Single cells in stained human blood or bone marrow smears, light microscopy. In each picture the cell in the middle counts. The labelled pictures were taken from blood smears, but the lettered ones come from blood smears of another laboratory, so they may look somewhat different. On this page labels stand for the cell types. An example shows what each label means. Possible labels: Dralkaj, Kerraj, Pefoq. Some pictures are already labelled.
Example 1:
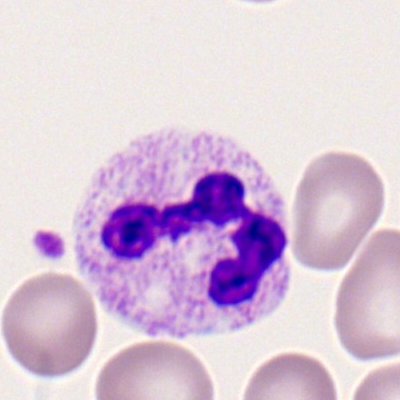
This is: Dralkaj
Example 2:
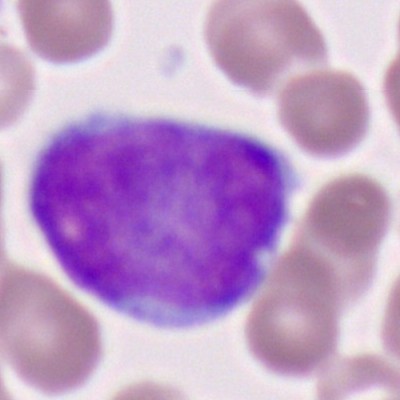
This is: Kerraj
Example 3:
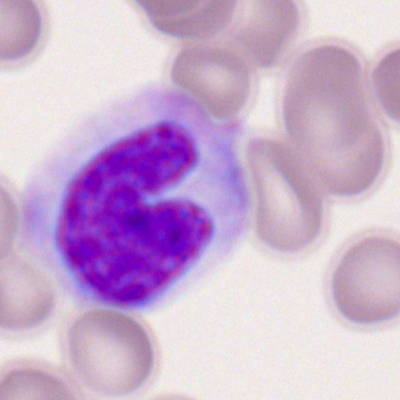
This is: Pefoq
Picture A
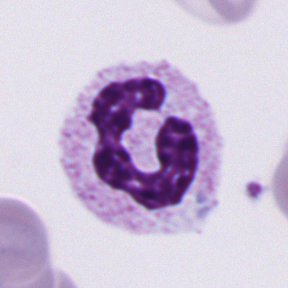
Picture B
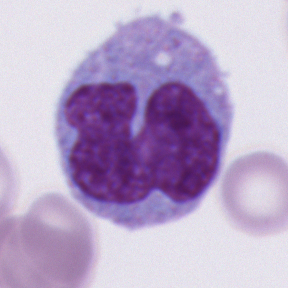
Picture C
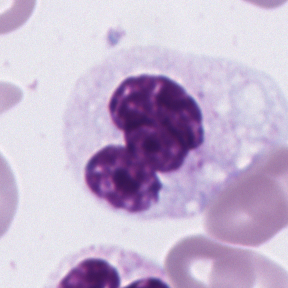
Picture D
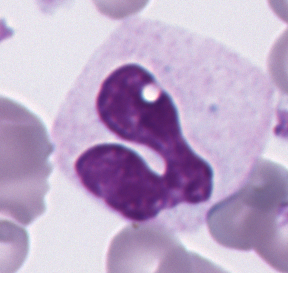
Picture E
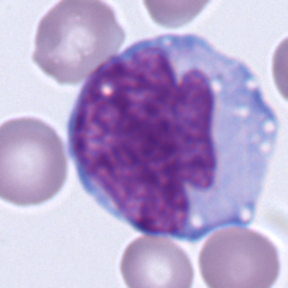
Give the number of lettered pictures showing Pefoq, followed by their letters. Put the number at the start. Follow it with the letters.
1: B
